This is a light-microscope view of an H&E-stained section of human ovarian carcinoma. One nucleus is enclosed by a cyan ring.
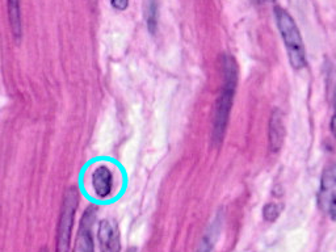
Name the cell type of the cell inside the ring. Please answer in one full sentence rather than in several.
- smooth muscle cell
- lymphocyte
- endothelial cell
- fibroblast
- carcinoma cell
On this particular slide, the cell inside the ring is a lymphocyte.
